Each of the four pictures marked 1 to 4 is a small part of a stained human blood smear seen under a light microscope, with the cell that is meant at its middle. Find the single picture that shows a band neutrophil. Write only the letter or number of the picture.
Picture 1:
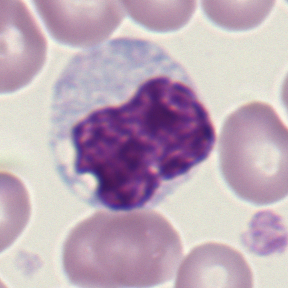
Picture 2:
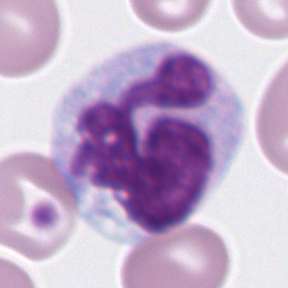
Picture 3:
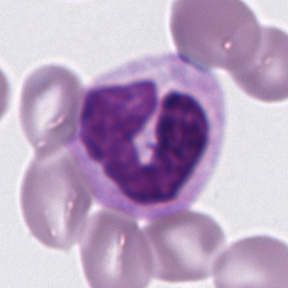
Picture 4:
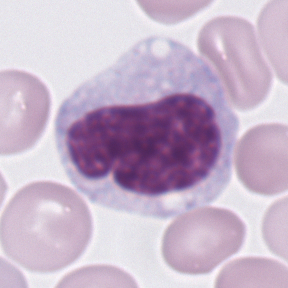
3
